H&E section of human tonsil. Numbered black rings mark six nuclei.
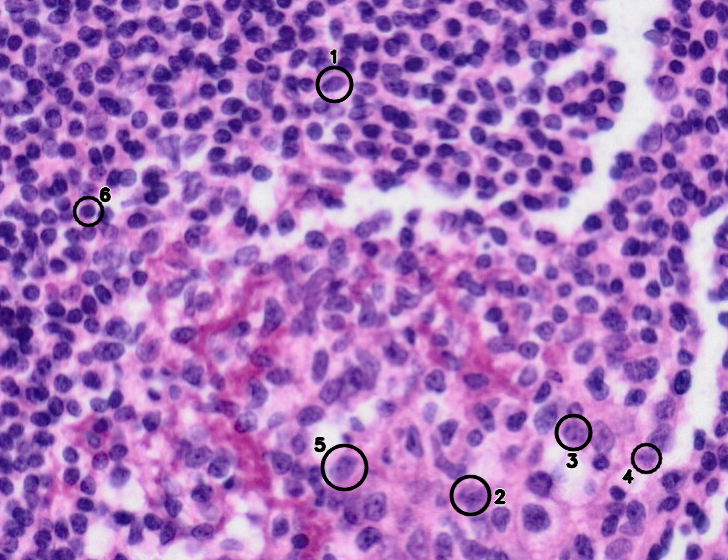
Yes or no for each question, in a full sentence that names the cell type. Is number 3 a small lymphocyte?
No, the cell with number 3 is not a small lymphocyte but a proliferating B cell.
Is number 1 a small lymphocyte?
Yes, the cell that number 1 points to is a small lymphocyte.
